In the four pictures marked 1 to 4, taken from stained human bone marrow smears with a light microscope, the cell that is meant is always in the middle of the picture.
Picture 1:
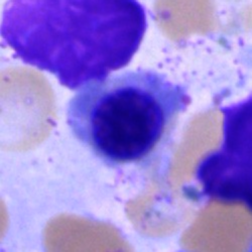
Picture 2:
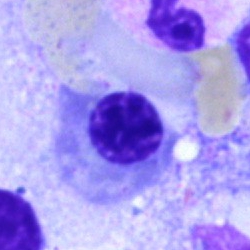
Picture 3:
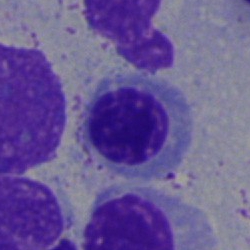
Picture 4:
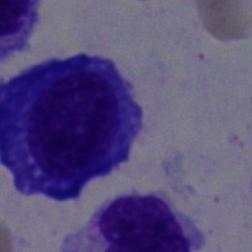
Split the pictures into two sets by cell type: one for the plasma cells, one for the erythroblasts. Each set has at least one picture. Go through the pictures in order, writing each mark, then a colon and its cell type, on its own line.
1: erythroblast
2: erythroblast
3: erythroblast
4: plasma cell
